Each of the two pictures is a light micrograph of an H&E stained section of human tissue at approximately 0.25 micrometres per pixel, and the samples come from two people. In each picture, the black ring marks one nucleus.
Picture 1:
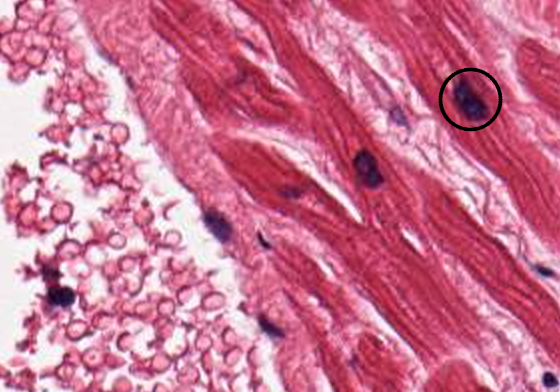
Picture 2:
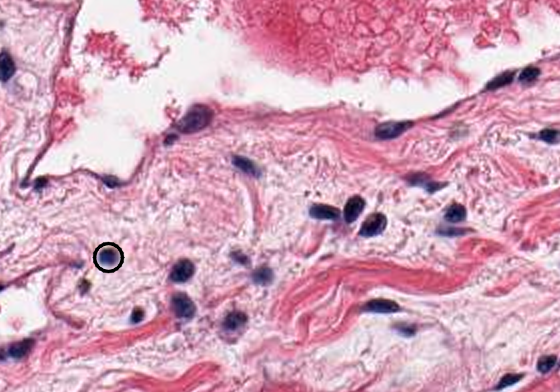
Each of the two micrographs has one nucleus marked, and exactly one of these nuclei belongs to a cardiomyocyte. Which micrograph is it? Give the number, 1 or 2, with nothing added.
1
